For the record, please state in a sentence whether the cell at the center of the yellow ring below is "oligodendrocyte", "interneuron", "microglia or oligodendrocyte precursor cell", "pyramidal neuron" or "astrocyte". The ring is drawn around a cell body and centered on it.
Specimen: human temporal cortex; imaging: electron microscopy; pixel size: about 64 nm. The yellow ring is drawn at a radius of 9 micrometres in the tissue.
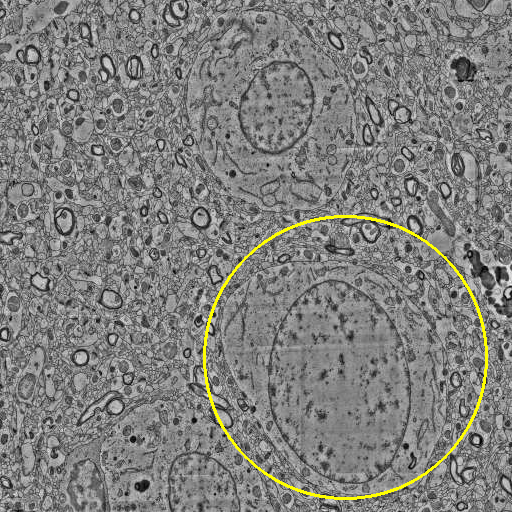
The cell at the ring's center is a pyramidal neuron.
